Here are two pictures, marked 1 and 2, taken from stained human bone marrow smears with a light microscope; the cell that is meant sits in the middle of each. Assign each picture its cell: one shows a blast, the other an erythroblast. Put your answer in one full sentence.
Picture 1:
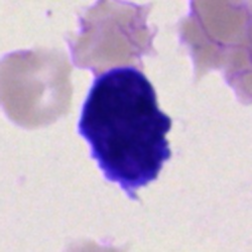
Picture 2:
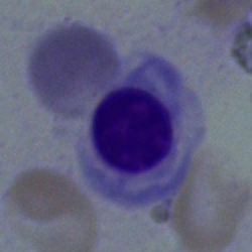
Picture 1 is of a blast, and picture 2 is of an erythroblast.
